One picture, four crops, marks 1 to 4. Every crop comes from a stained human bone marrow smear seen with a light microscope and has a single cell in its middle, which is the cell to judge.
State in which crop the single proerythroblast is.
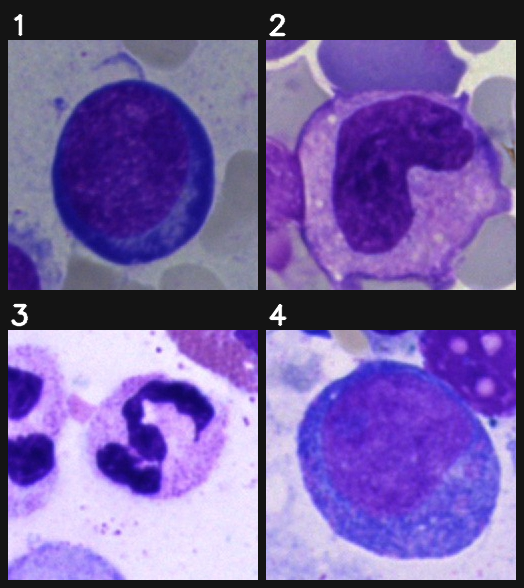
1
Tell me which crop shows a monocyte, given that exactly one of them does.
2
